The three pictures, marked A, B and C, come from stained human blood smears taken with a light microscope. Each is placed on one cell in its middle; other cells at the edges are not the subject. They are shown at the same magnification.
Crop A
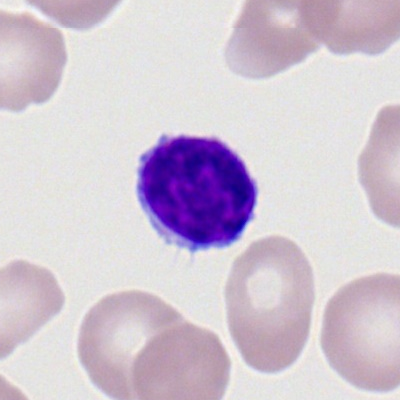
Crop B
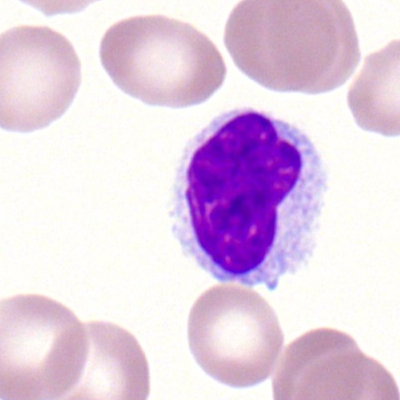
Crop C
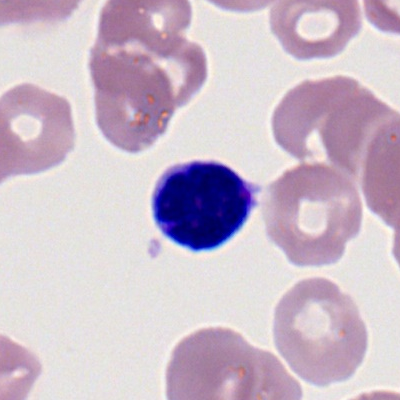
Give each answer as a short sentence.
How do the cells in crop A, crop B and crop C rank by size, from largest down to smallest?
The order is B, A, C, beginning with the largest.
